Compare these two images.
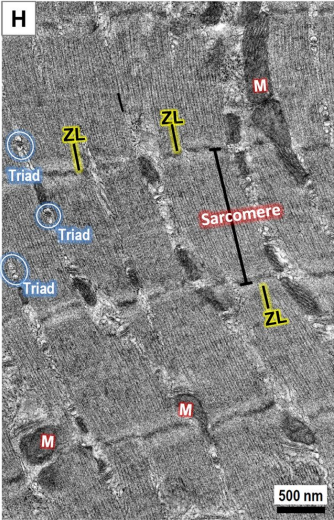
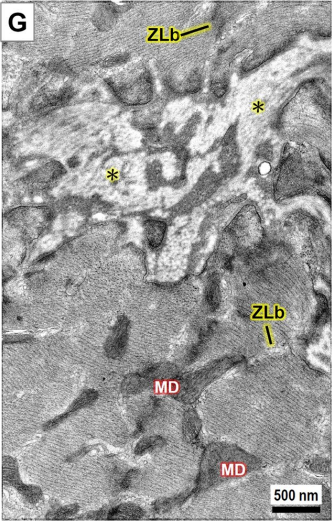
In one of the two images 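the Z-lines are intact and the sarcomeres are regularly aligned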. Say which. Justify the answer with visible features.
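The first image. Second image: myofibrils are disrupted, with a large pale disorganized area and no regular row of Z-lines. First image: dark Z-lines run across the myofibrils at regular intervals, marking out repeating sarcomeres.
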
